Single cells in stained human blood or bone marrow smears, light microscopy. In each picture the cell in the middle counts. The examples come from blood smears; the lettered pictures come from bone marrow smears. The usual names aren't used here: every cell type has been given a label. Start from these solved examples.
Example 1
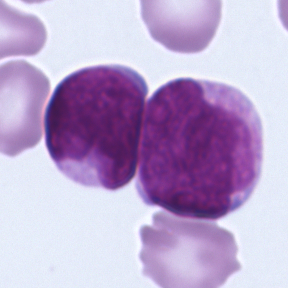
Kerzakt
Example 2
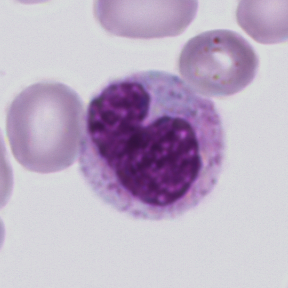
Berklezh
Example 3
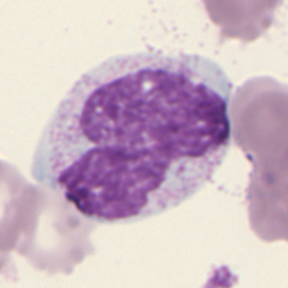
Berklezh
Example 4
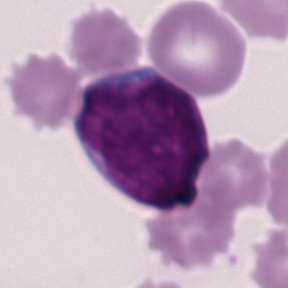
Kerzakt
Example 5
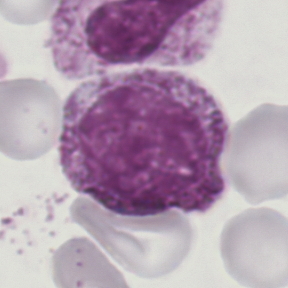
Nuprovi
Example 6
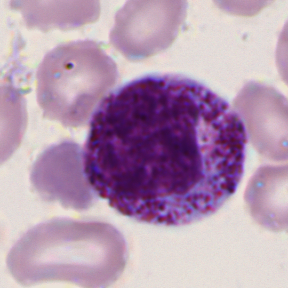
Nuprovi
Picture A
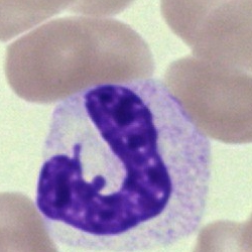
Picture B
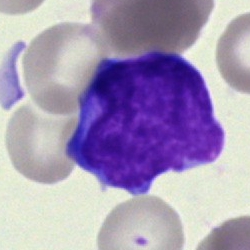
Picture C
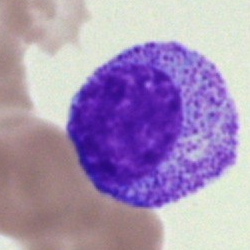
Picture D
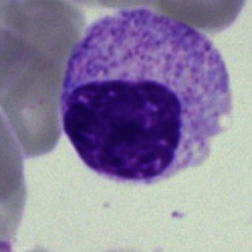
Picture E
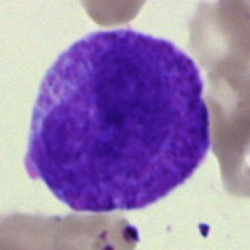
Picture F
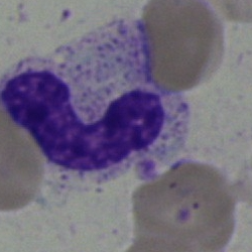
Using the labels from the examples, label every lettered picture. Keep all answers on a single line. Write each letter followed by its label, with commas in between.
A Berklezh, B Kerzakt, C Nuprovi, D Nuprovi, E Kerzakt, F Berklezh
